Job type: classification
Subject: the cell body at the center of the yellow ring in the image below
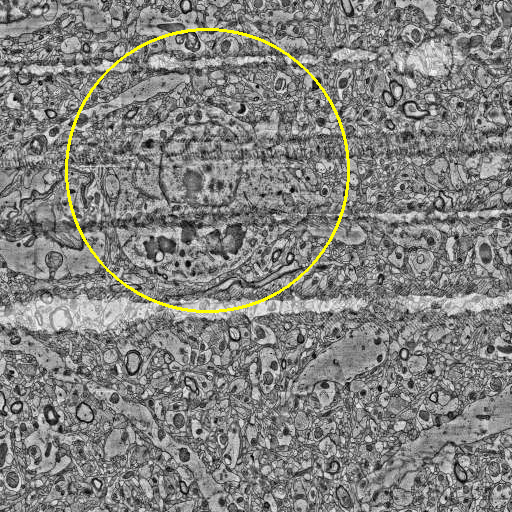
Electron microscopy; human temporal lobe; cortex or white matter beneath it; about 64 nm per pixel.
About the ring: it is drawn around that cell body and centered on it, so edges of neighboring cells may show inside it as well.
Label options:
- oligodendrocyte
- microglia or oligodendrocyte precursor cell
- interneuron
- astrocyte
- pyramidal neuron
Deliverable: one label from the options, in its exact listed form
interneuron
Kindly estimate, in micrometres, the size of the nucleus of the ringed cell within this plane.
About 7 by 5 micrometers, in this plane.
